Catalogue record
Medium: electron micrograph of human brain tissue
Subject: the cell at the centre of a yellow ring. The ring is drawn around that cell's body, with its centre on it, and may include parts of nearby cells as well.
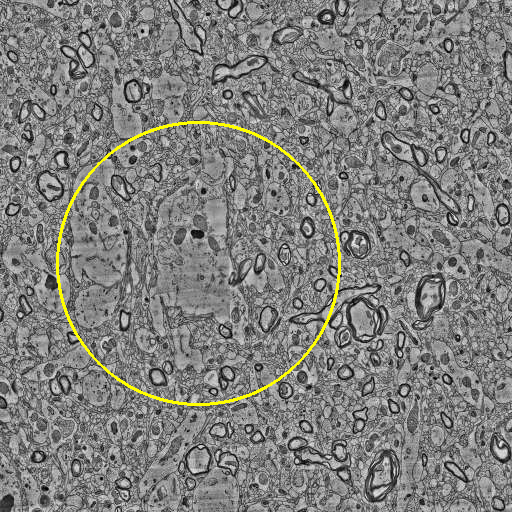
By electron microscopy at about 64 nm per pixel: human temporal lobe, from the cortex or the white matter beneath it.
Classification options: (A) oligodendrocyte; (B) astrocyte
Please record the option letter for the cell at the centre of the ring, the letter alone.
B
